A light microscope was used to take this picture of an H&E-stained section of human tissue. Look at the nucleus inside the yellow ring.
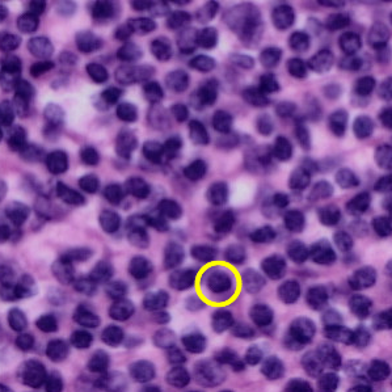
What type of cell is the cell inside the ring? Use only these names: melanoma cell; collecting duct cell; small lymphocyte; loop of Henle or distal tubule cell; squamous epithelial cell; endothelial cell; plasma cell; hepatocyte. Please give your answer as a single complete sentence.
In cellular terms, the cell inside the ring is a small lymphocyte.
